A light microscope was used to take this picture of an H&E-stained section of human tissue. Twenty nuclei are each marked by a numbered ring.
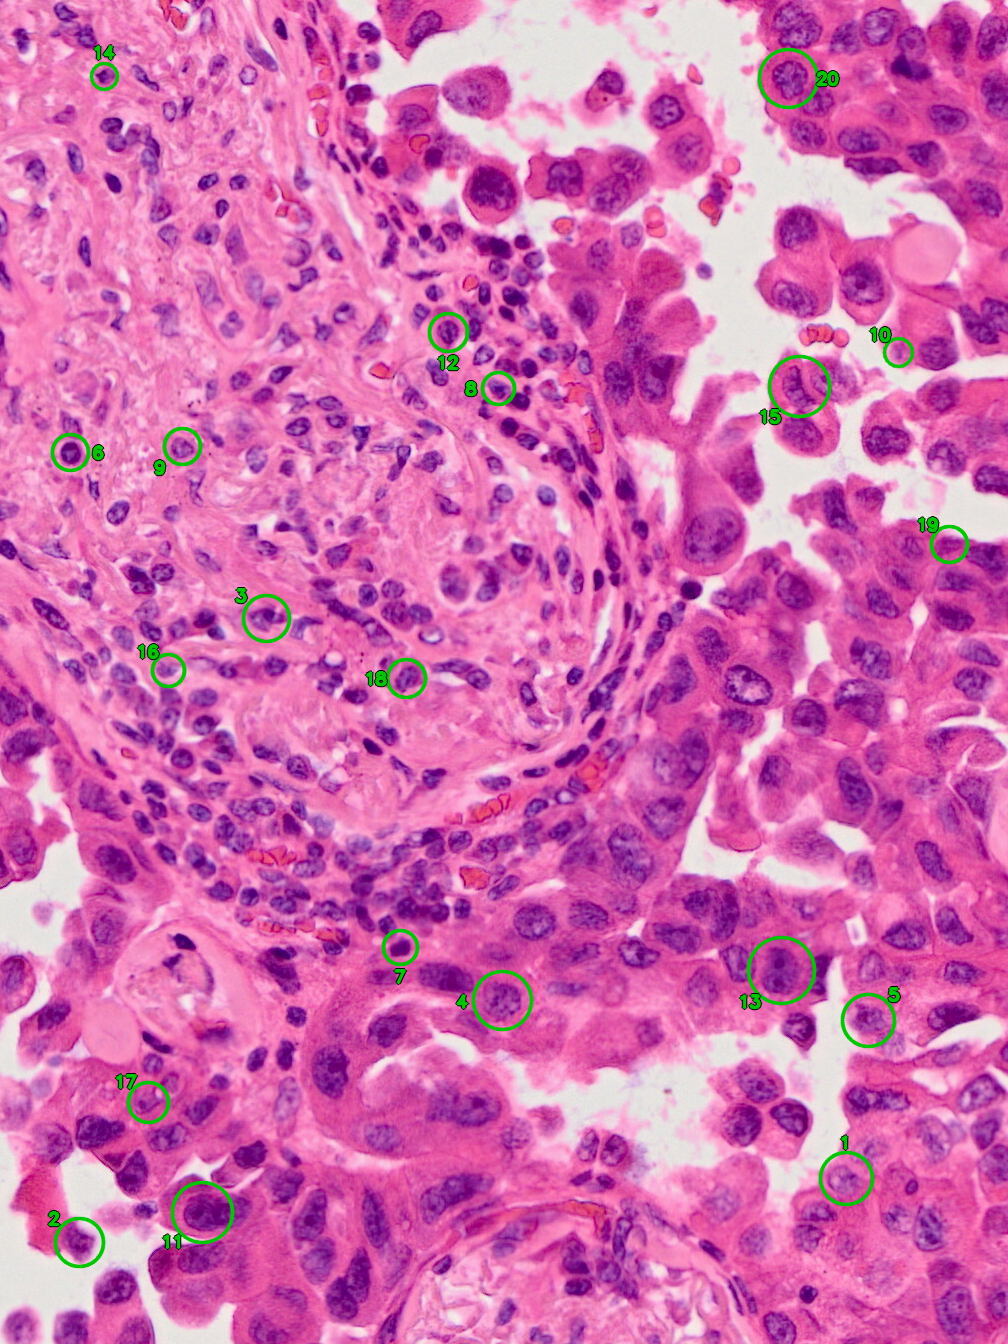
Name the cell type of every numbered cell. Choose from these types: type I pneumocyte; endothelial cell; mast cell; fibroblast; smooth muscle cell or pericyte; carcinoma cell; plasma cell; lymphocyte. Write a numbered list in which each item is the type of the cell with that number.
1. carcinoma cell
2. carcinoma cell
3. plasma cell
4. carcinoma cell
5. carcinoma cell
6. plasma cell
7. lymphocyte
8. lymphocyte
9. plasma cell
10. carcinoma cell
11. carcinoma cell
12. plasma cell
13. carcinoma cell
14. plasma cell
15. carcinoma cell
16. lymphocyte
17. carcinoma cell
18. plasma cell
19. carcinoma cell
20. carcinoma cell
